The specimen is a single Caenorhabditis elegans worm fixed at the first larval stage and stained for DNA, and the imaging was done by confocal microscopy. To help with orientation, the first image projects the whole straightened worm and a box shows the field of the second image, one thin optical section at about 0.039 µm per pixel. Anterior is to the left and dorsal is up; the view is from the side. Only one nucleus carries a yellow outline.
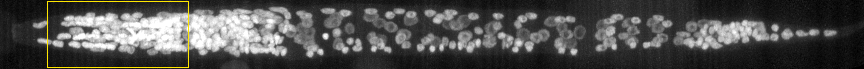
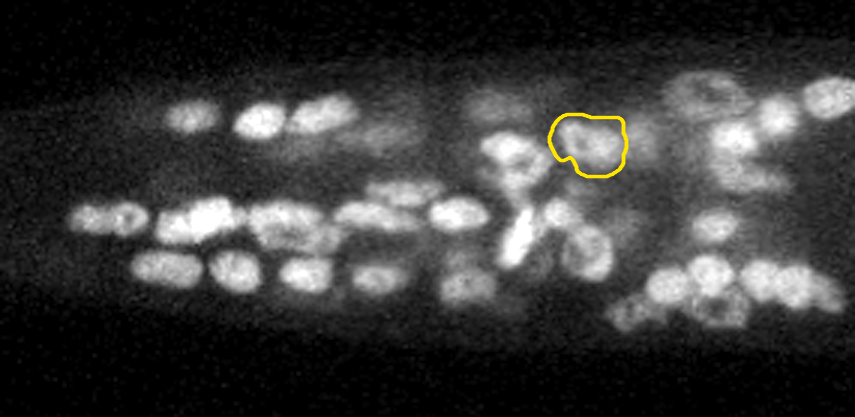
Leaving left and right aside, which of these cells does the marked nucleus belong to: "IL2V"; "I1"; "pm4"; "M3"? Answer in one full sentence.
The marked cell is pm4, a pharyngeal muscle cell.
